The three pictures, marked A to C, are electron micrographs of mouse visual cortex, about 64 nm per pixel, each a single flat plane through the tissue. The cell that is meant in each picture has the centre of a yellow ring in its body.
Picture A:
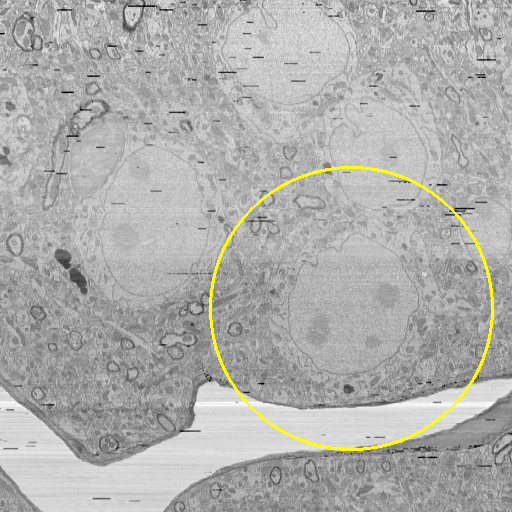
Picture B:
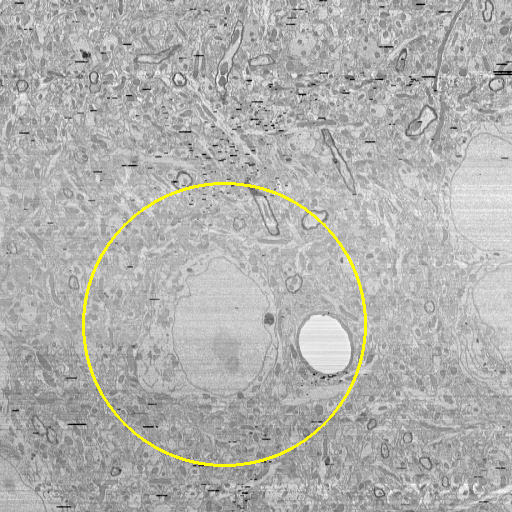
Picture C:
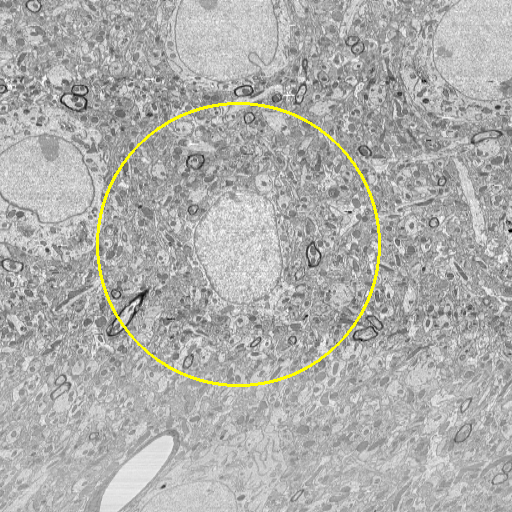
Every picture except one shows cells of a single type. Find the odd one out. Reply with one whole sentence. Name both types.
The others show excitatory neurons, but picture C shows an astrocyte.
